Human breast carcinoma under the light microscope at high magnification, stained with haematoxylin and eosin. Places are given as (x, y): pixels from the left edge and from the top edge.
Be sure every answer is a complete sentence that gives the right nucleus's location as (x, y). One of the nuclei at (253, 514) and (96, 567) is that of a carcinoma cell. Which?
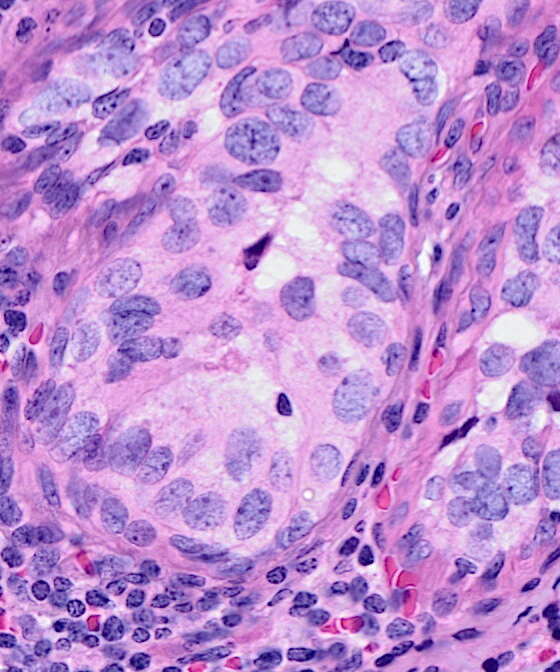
The nucleus of a carcinoma cell is the one found at (253, 514), not the other.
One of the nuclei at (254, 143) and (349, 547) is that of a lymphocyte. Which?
The nucleus situated at (349, 547) is the one belonging to a lymphocyte.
